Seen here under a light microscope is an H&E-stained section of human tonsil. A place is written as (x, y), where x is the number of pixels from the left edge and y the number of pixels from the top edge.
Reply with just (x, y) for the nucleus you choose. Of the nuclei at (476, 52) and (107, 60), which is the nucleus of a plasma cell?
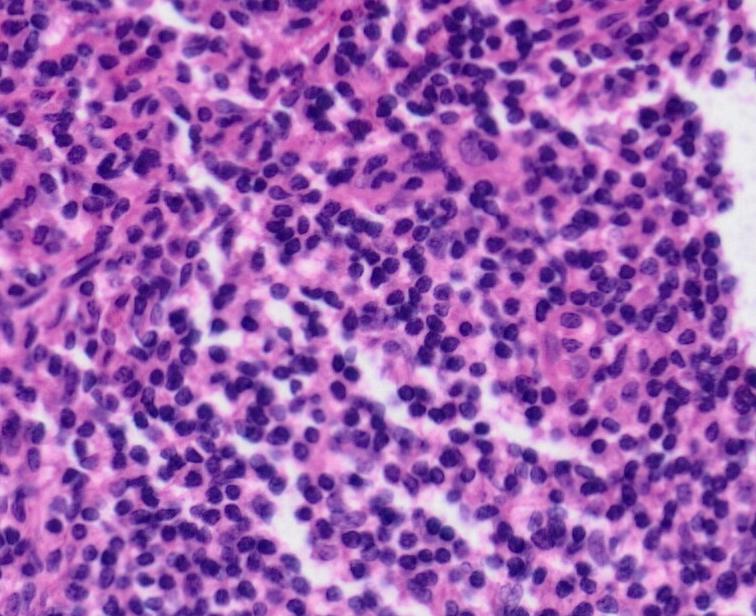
(107, 60)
